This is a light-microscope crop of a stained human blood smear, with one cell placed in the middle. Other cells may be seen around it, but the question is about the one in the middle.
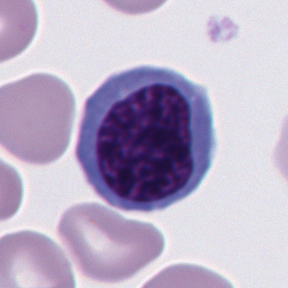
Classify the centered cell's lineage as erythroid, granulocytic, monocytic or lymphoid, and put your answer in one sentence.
Included in the erythroid lineage is the cell at the middle of the crop.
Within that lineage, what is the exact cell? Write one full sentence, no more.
The cell nearest the centre of this crop is a normoblast.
